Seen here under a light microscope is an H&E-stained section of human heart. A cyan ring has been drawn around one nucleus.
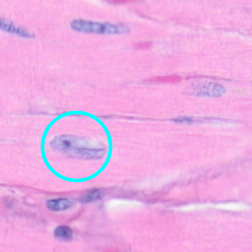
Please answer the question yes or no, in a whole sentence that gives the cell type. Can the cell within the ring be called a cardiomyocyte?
Yes, no change needed: the cell within the ring is a cardiomyocyte.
